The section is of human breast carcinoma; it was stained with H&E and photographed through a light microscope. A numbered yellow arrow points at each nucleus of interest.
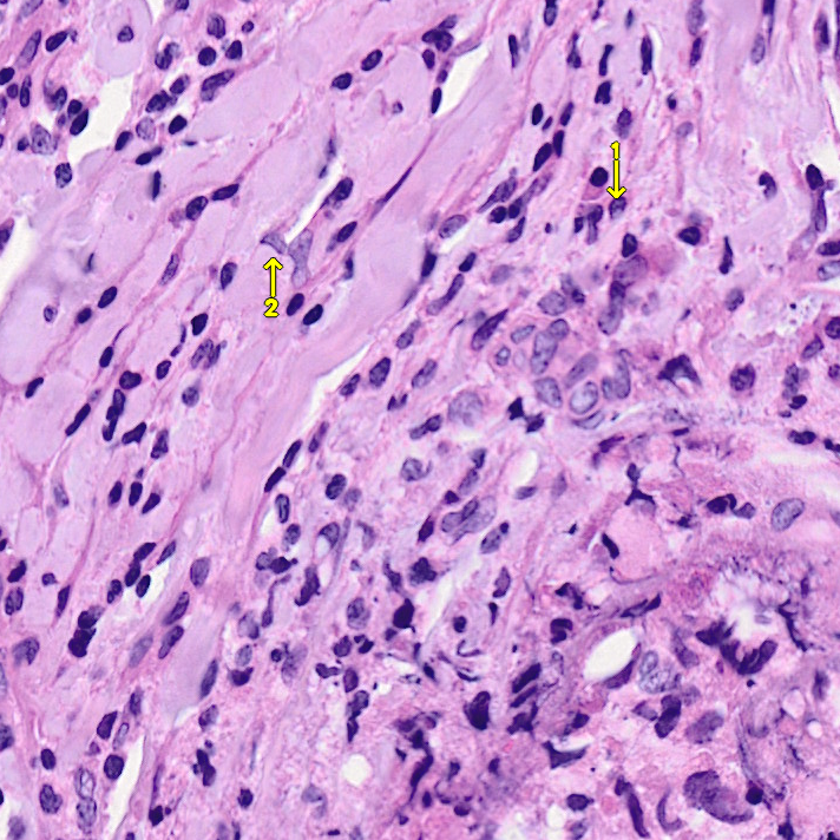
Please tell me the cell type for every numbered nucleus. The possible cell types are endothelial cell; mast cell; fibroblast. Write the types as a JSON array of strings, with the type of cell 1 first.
["mast cell", "fibroblast"]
